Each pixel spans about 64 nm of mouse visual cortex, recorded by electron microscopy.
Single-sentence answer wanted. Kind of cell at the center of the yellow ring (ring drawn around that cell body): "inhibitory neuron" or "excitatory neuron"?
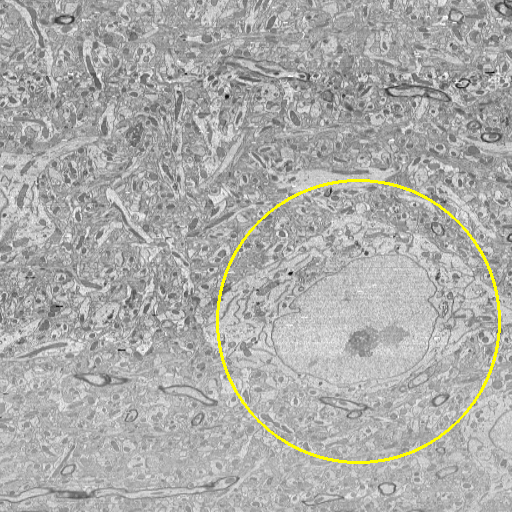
The cell centered in the ring is an inhibitory neuron.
